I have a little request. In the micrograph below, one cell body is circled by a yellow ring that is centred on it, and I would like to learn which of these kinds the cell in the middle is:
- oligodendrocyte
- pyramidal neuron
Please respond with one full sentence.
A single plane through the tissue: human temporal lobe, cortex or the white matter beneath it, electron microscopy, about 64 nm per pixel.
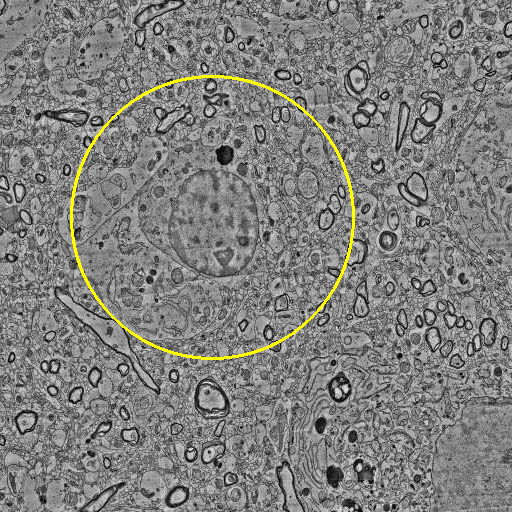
The cell sitting in the middle of the yellow ring in the micrograph is an oligodendrocyte.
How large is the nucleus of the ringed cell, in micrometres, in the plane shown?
Roughly 7 by 6 micrometres in this plane, for the nucleus of the ringed cell.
